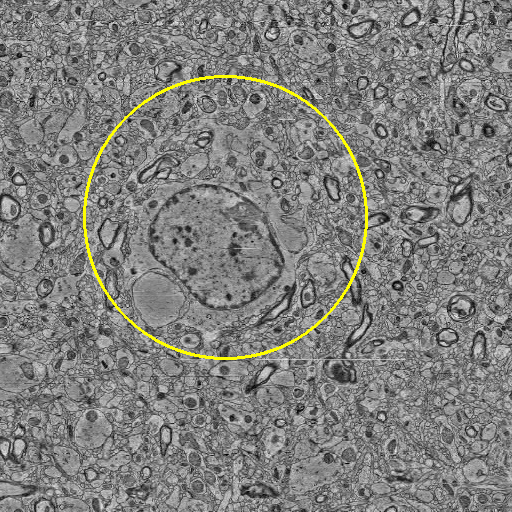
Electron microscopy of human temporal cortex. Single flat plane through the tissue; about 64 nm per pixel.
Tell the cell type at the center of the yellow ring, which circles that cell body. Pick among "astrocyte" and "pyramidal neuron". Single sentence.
The ring is centered on the body of an astrocyte.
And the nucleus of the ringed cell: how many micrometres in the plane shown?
The nucleus comes to roughly 8 micrometres across in this plane.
